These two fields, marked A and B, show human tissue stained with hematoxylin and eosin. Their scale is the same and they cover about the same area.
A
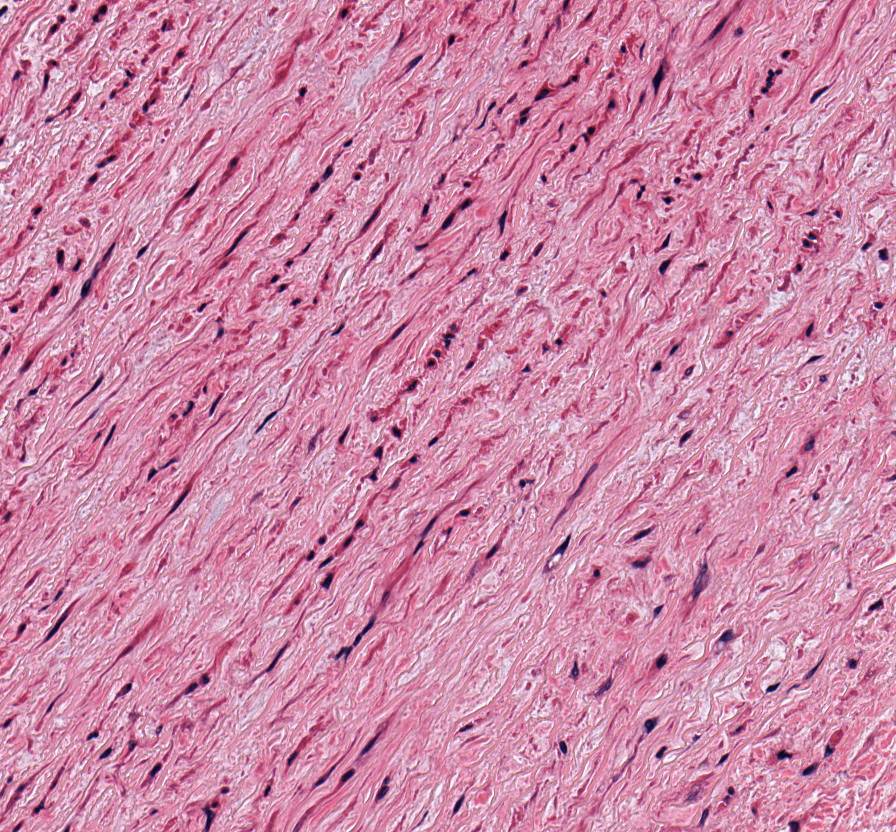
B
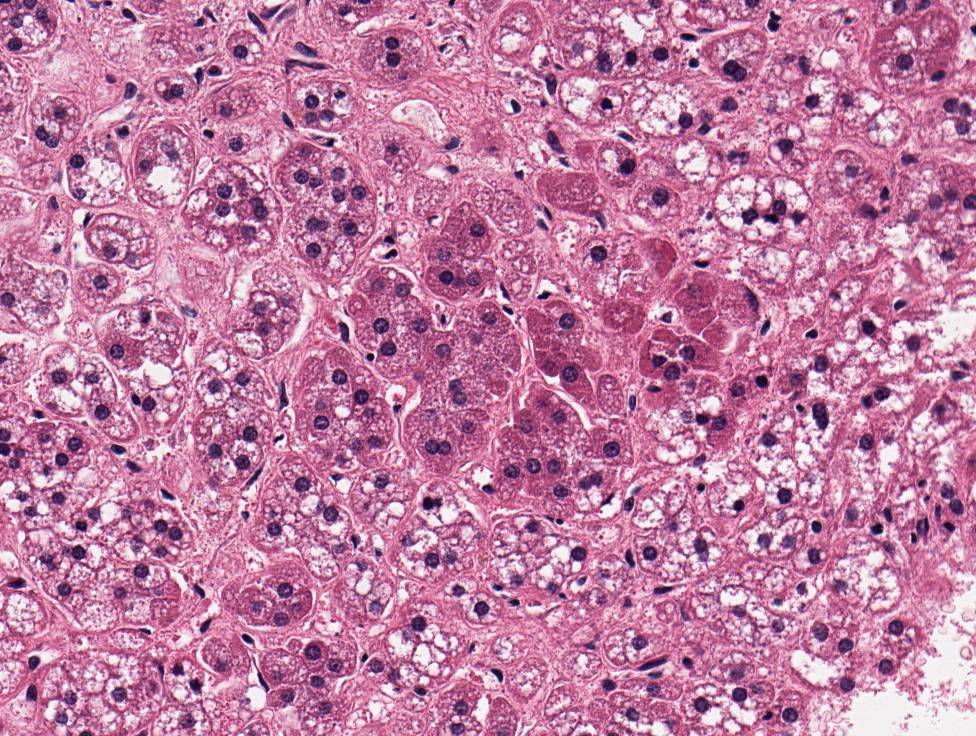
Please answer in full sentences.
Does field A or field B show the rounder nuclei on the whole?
On the whole the nuclei of field B are rounder than those of field A.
